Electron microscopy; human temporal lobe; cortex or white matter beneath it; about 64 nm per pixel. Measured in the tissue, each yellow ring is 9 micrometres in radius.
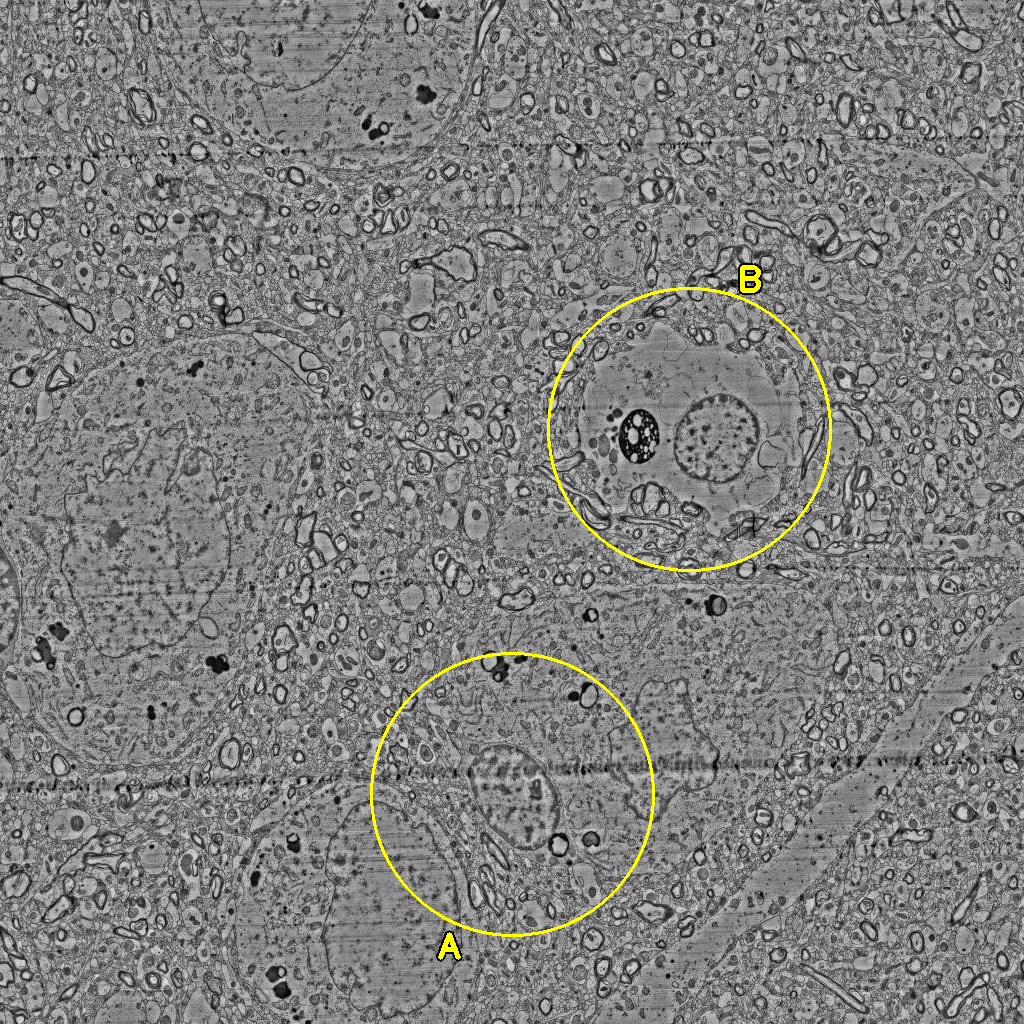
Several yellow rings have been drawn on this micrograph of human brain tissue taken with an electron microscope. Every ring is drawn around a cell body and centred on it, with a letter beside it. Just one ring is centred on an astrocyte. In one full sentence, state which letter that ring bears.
At the centre of ring B is a cell of that kind.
